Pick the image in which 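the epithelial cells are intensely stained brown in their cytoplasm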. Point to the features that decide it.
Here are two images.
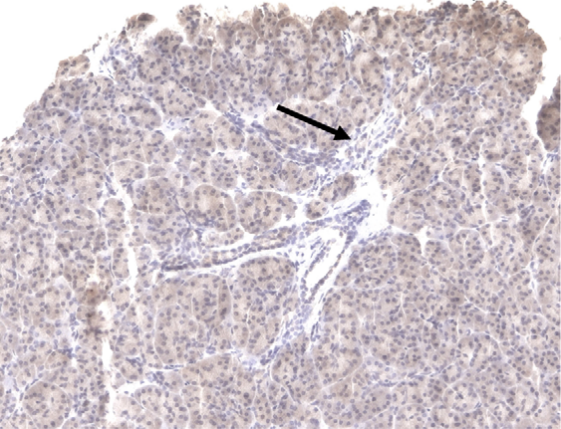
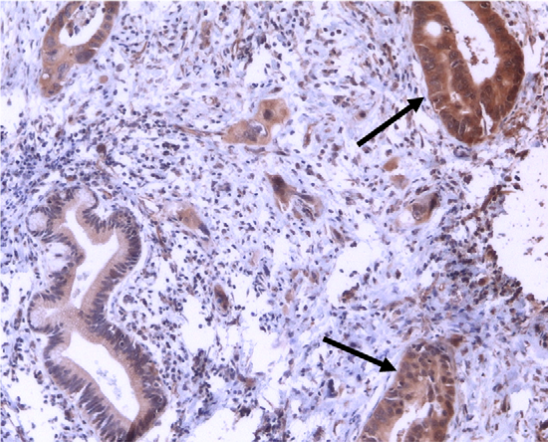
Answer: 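Second image: the gland-lining cells are dark brown in their cytoplasm.
Hence: the second image.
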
